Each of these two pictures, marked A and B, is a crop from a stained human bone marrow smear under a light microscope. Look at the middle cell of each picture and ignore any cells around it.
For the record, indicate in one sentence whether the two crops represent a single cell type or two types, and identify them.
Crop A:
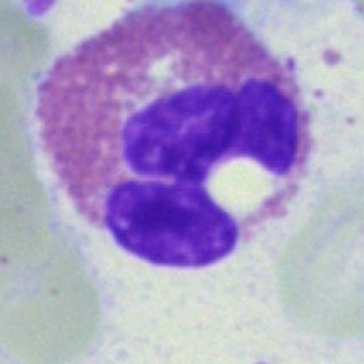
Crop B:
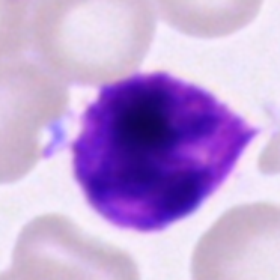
No, on this set crop A shows an eosinophil and crop B shows a basophil.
